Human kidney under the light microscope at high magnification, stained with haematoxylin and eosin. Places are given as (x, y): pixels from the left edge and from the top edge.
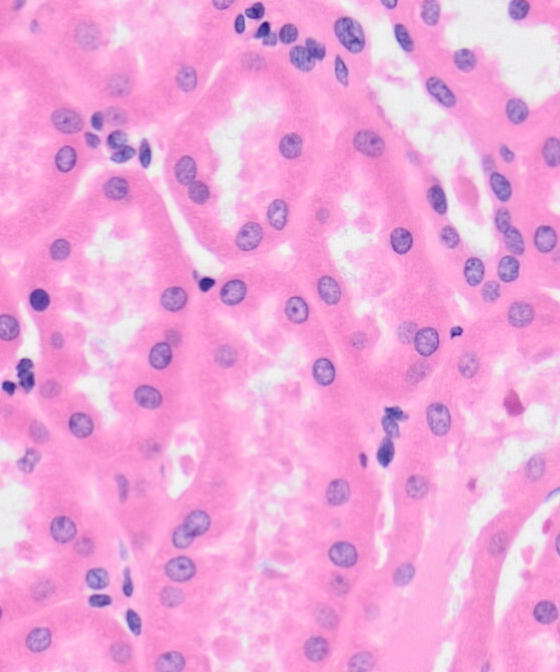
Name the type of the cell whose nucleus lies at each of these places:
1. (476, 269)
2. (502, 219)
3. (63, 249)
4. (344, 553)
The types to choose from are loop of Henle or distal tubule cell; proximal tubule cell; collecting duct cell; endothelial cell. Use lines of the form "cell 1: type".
cell 1: collecting duct cell
cell 2: collecting duct cell
cell 3: proximal tubule cell
cell 4: proximal tubule cell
